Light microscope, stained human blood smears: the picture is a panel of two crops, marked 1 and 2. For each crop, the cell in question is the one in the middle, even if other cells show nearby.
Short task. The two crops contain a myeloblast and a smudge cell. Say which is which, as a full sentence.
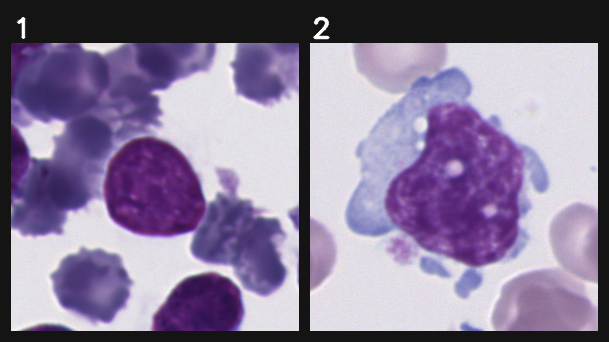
Crop 1 is to be labelled a smudge cell, and crop 2 a myeloblast.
